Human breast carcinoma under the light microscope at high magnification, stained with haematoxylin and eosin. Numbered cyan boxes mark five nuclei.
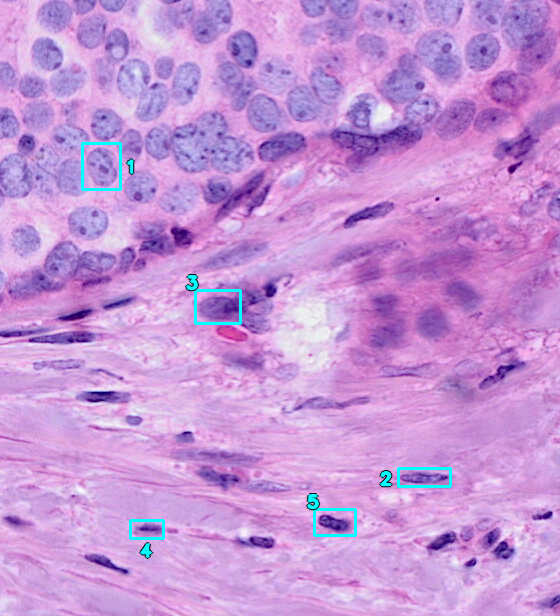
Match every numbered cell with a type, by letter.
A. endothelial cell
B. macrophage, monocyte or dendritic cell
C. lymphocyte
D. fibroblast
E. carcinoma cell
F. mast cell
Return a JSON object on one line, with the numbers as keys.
{"1": "E", "2": "D", "3": "A", "4": "D", "5": "F"}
